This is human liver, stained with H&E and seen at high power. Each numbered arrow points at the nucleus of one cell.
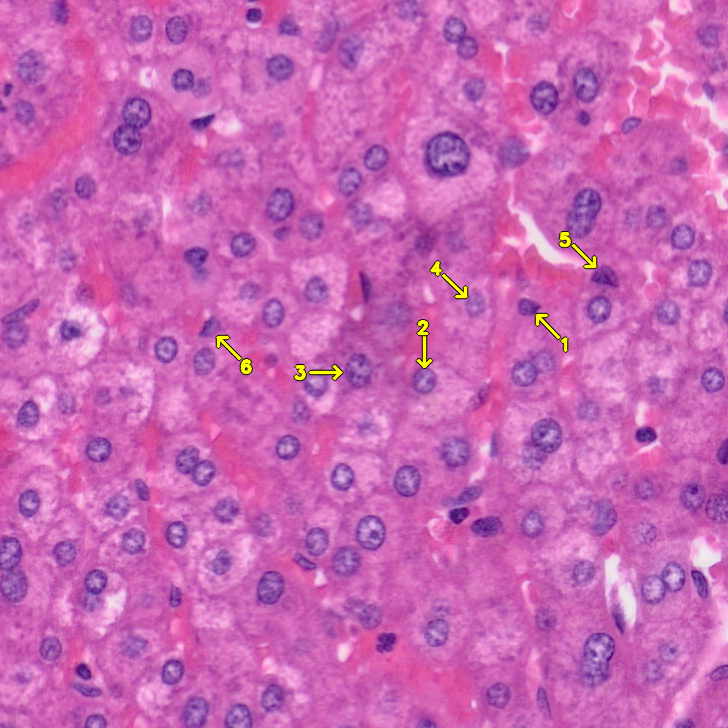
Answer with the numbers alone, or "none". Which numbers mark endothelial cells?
6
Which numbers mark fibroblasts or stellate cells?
1, 5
